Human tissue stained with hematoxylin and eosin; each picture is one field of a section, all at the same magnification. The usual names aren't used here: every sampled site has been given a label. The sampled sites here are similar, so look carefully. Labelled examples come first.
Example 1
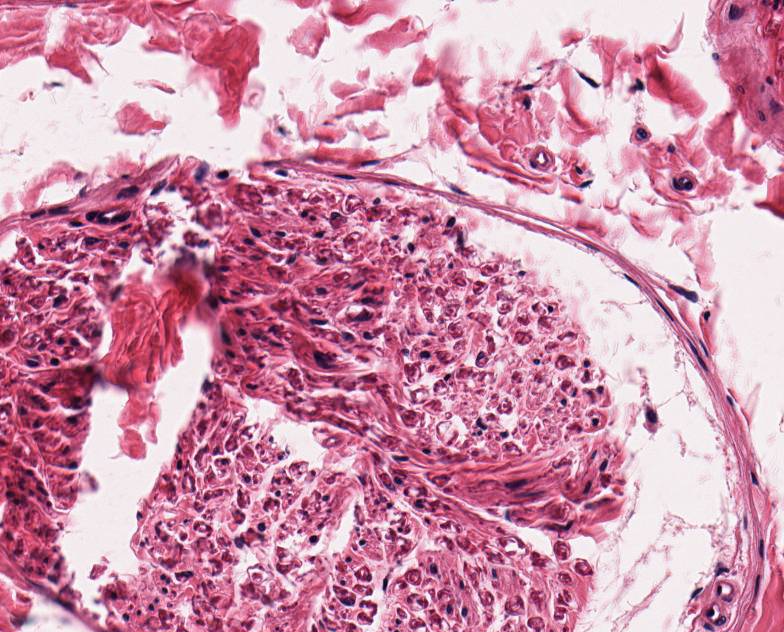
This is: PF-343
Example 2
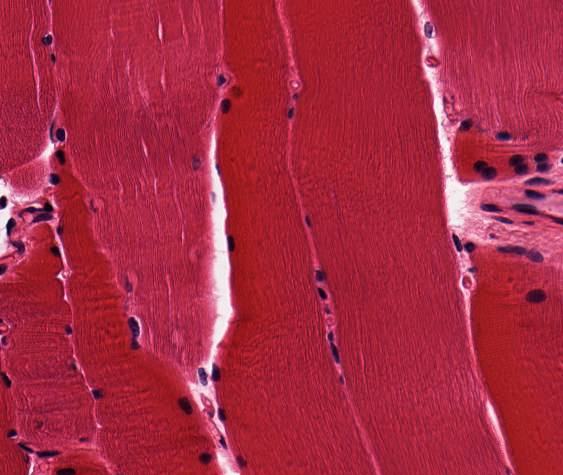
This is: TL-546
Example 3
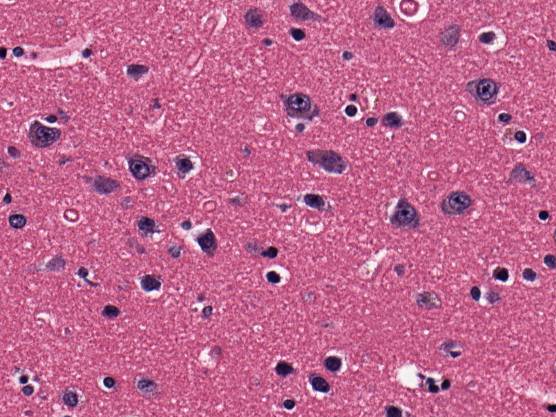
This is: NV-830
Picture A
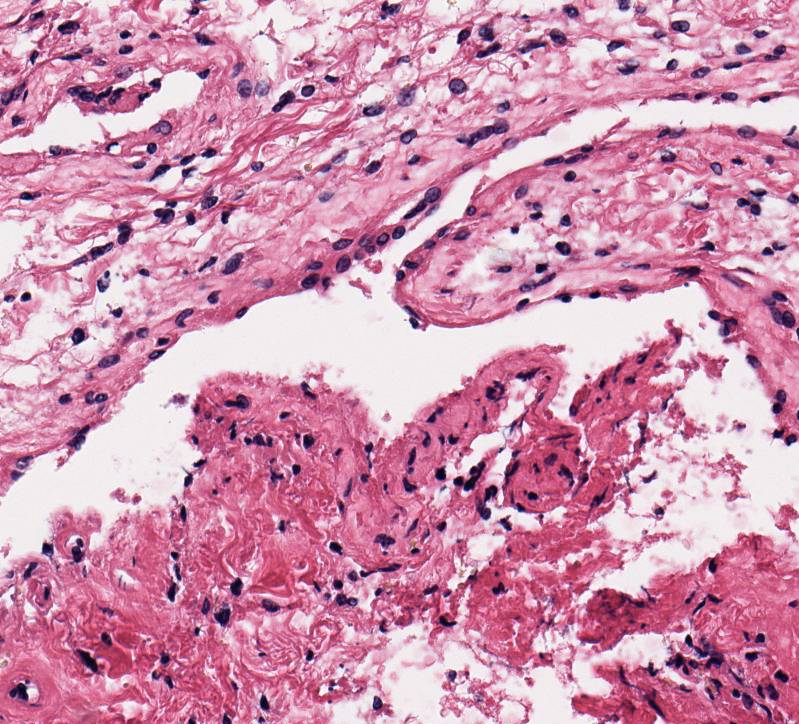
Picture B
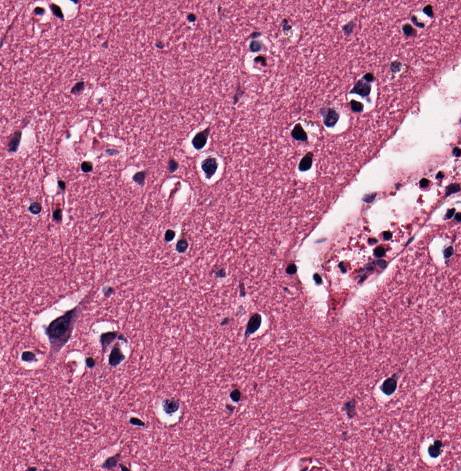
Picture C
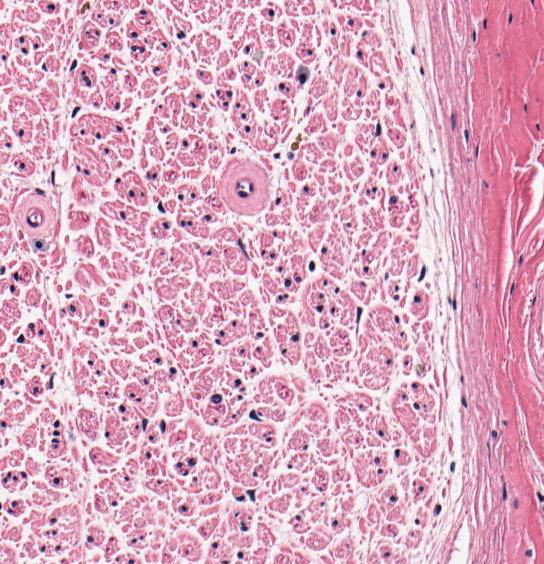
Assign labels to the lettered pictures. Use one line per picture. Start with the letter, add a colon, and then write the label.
A: NV-830
B: NV-830
C: PF-343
